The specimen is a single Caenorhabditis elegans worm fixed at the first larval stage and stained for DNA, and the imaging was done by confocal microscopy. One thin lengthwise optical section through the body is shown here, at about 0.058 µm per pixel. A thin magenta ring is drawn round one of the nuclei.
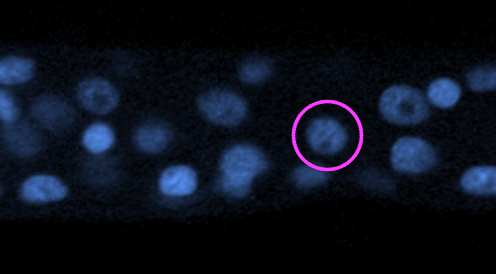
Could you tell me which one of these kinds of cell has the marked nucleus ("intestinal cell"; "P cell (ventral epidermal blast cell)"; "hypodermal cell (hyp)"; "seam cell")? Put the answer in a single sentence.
It is the nucleus of a seam cell.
